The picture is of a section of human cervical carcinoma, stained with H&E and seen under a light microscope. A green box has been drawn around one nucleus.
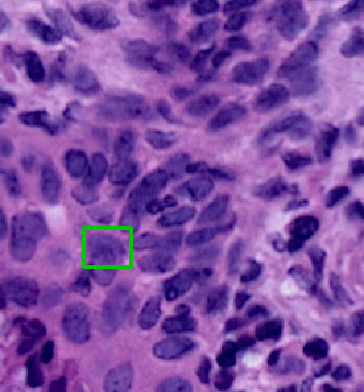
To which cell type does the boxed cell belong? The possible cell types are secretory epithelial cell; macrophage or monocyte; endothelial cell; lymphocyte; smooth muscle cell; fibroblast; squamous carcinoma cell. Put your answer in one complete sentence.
The identity of the boxed cell is that of a secretory epithelial cell.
